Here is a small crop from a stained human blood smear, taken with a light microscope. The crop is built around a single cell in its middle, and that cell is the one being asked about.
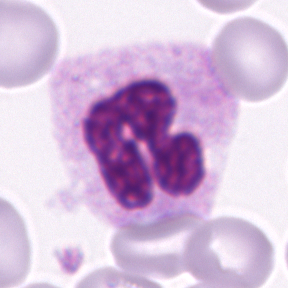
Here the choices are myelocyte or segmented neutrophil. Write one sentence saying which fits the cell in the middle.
Seen at the centre of the crop is a segmented neutrophil.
